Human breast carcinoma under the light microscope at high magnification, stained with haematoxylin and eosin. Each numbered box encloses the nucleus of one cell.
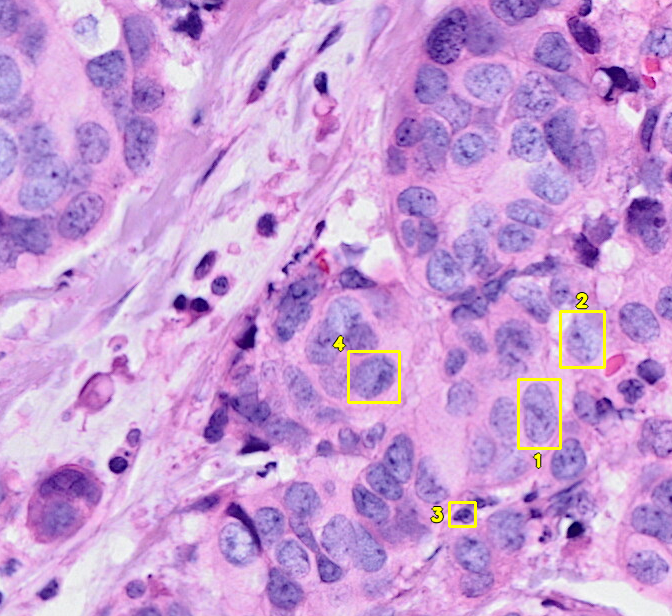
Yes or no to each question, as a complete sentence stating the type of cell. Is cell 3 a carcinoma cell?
No, the cell bearing number 3 is not a carcinoma cell but a lymphocyte.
